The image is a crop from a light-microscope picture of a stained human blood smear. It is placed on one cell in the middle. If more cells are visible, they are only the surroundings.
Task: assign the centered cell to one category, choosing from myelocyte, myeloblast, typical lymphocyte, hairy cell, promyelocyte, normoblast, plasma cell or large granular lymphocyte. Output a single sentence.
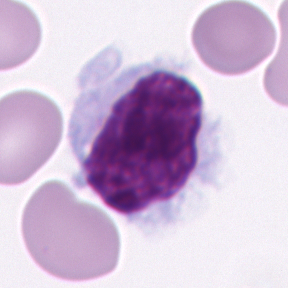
At the center of the crop sits a hairy cell.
